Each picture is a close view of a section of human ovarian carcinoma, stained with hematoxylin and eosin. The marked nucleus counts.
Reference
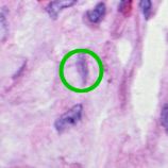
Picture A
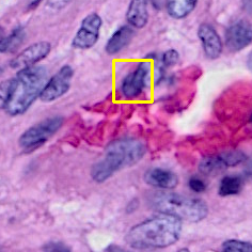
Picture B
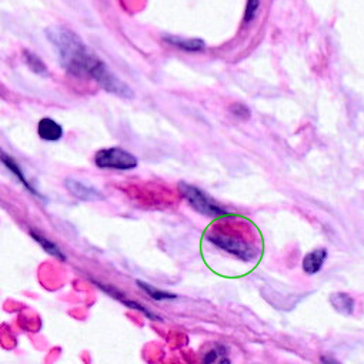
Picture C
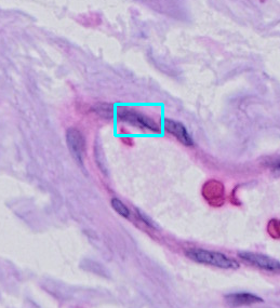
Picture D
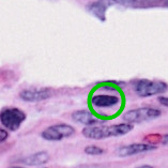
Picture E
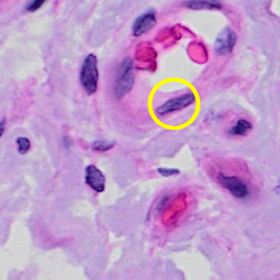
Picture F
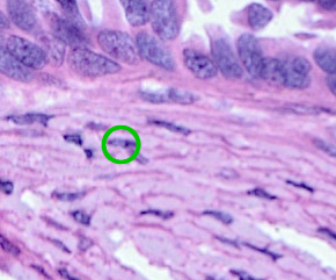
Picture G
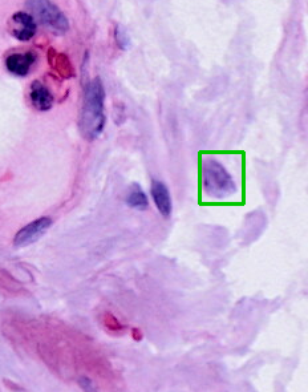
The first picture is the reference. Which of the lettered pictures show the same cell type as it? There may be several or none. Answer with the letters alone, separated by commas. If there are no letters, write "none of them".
F, G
